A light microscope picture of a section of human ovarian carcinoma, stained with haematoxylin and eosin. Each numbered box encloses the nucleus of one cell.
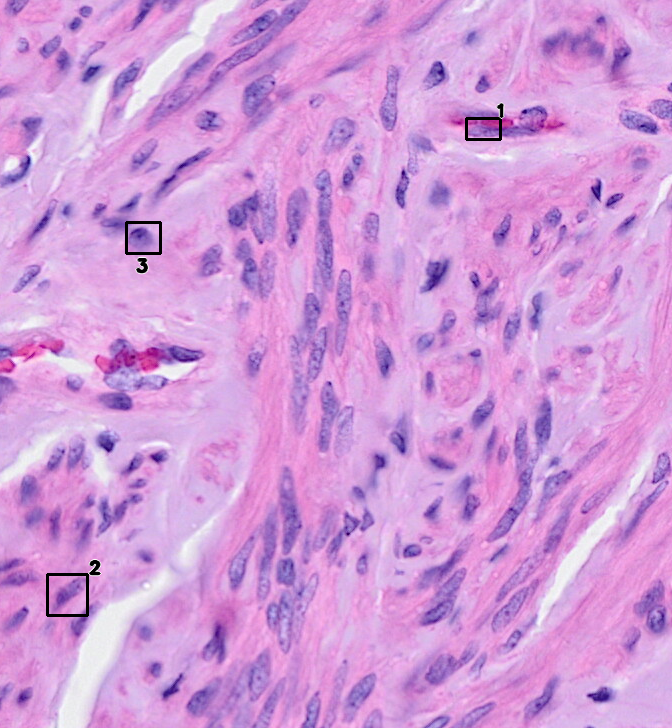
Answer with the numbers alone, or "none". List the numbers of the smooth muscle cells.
2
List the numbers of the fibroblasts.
3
